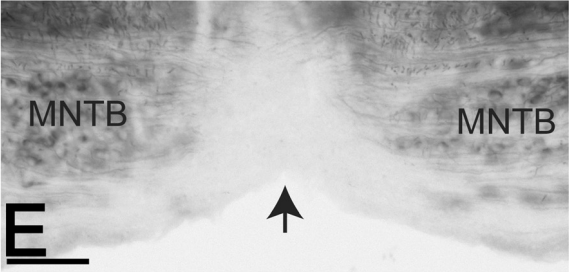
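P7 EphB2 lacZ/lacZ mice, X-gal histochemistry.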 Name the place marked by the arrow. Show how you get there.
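Midline. The arrow points to a pale unstained band at the center of the section. Stained fibrous regions lie symmetrically on either side of the band.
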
